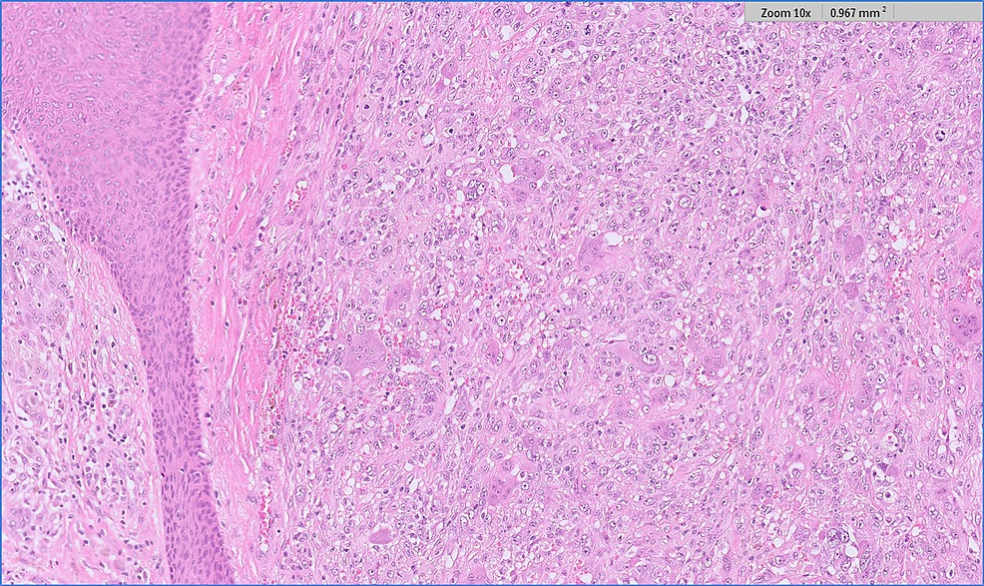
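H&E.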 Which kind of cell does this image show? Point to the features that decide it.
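Scattered large cells with abundant pink cytoplasm and several nuclei lie among smaller cells. These large cells are much bigger than the surrounding cells. That points to this answer: atypical multinucleated giant cells.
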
